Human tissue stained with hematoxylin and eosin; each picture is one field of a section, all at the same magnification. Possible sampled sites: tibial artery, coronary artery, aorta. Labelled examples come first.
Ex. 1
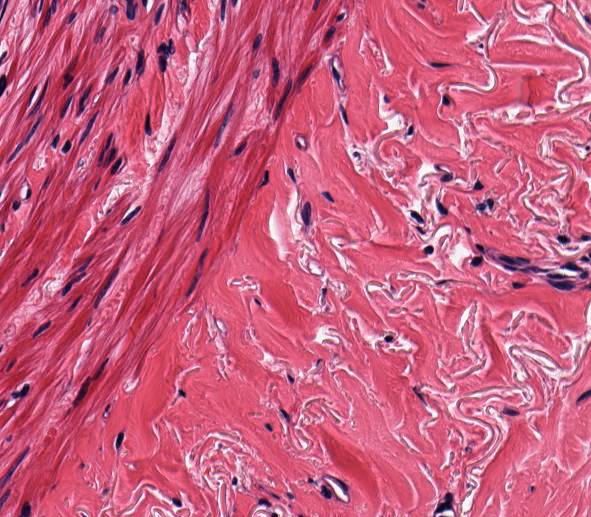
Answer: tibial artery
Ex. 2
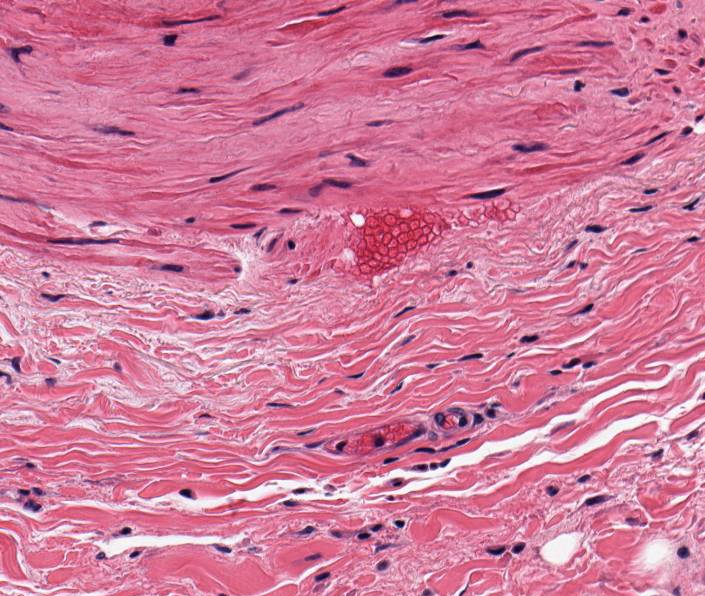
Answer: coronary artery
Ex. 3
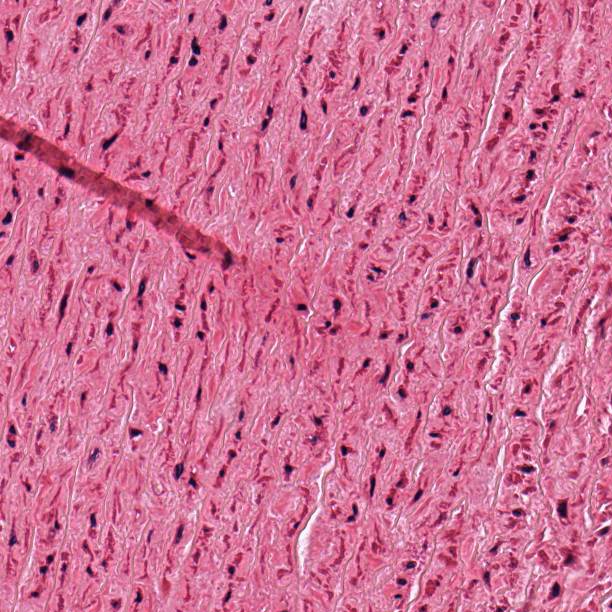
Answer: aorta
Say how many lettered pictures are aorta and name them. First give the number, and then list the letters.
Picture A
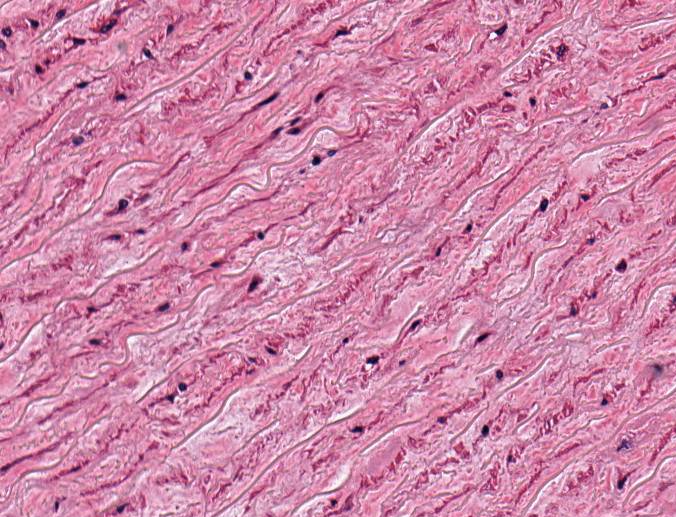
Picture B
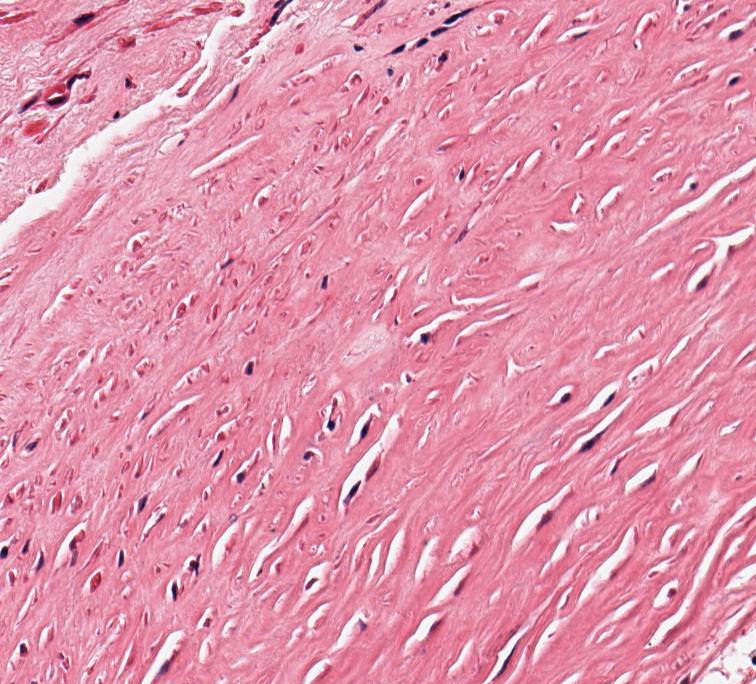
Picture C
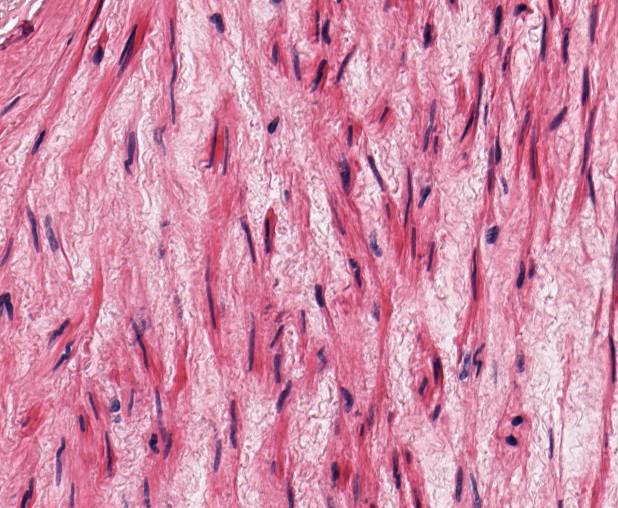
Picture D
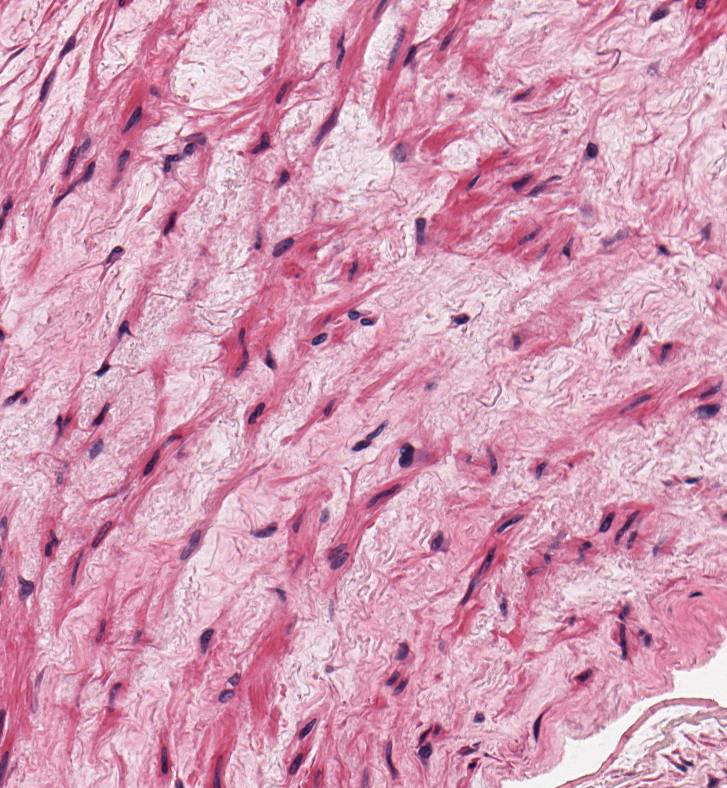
Count: 1 (A)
